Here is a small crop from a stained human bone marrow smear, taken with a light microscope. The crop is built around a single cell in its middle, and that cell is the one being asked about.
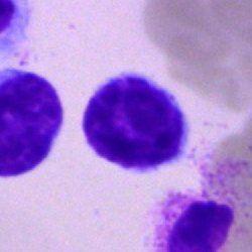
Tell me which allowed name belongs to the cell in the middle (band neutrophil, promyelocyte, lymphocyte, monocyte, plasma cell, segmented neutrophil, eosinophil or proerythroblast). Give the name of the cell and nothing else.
lymphocyte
